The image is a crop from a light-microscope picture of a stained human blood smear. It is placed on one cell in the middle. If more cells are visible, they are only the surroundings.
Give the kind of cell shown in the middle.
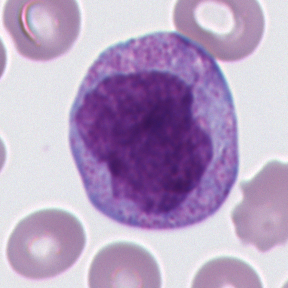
atypical promyelocyte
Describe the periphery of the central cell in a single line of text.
If you check the edge, you will find it smooth without projections.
